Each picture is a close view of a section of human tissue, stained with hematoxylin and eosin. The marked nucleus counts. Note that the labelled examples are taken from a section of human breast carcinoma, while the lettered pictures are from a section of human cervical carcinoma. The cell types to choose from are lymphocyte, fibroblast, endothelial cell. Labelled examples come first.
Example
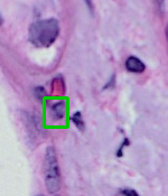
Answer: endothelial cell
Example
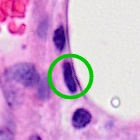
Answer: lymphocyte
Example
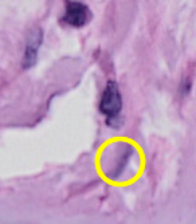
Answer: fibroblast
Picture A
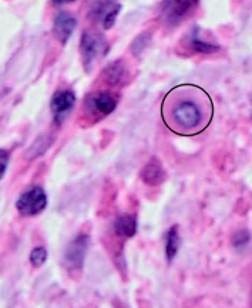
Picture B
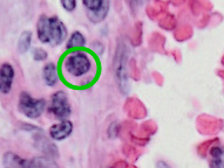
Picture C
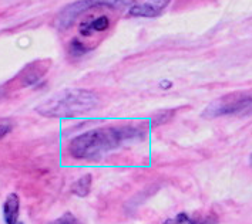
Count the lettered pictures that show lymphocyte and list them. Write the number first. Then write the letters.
1, namely B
